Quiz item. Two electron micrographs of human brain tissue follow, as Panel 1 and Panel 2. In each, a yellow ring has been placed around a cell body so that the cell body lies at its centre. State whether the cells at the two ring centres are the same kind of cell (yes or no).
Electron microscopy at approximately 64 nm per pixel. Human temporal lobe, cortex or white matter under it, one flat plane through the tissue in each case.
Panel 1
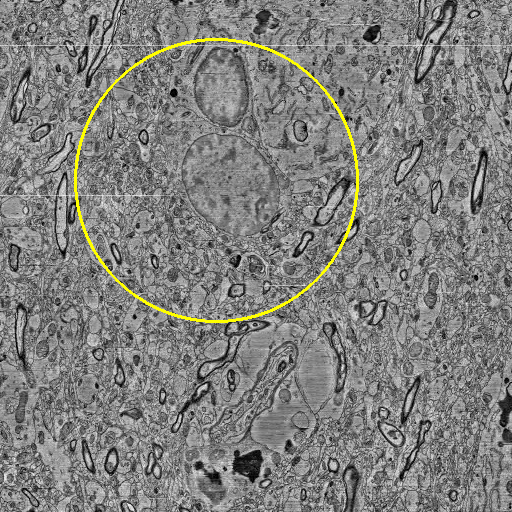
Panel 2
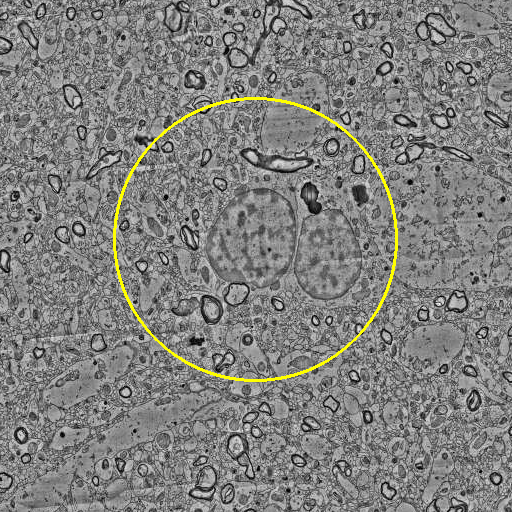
yes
